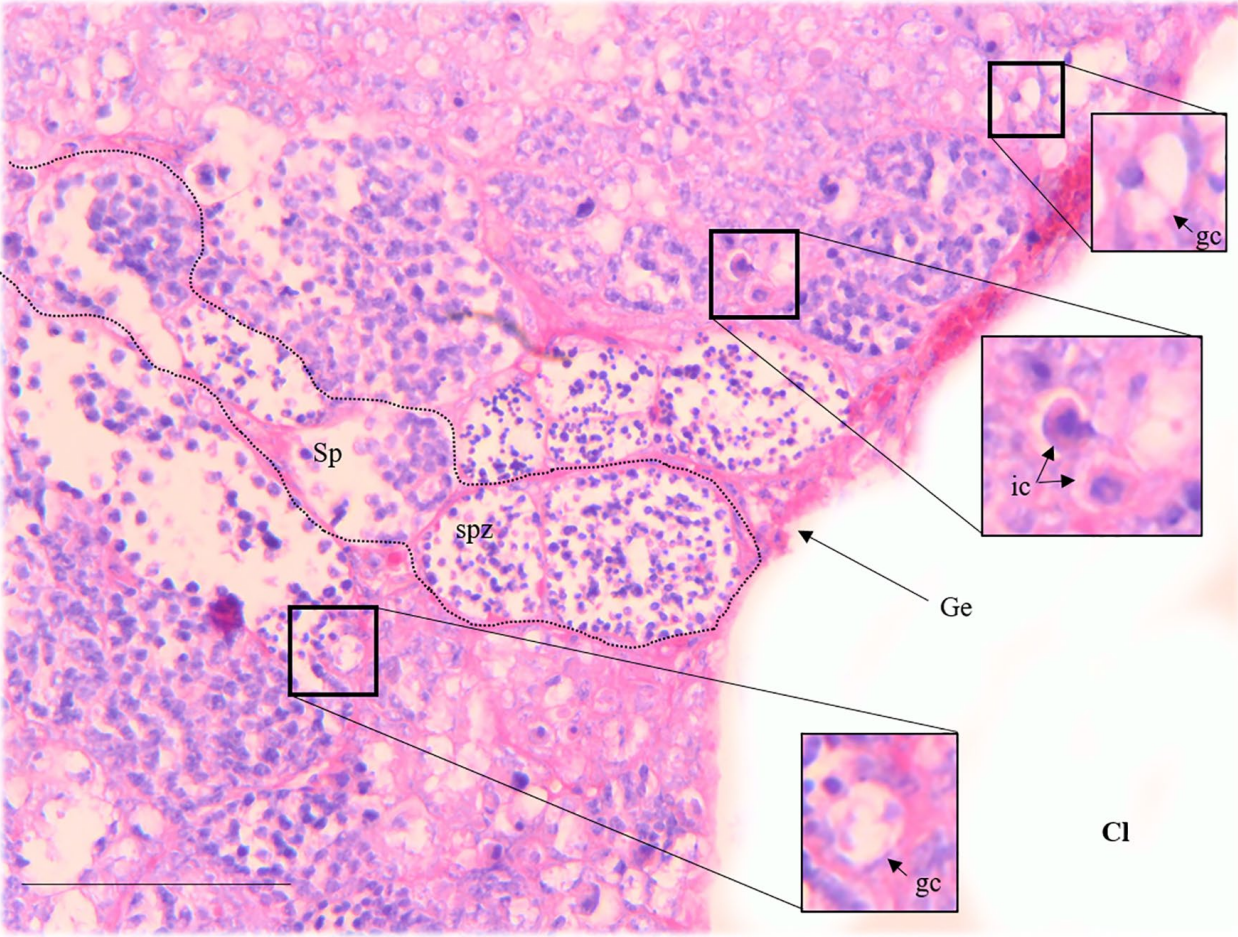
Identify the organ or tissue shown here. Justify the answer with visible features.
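Testis. Tissue is divided into lobules by thin pink connective tissue septa. Lobules are packed with small, dark-staining round nuclei of germ cells. Some lobules contain loose clusters of tiny dark heads in a pale lumen.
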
